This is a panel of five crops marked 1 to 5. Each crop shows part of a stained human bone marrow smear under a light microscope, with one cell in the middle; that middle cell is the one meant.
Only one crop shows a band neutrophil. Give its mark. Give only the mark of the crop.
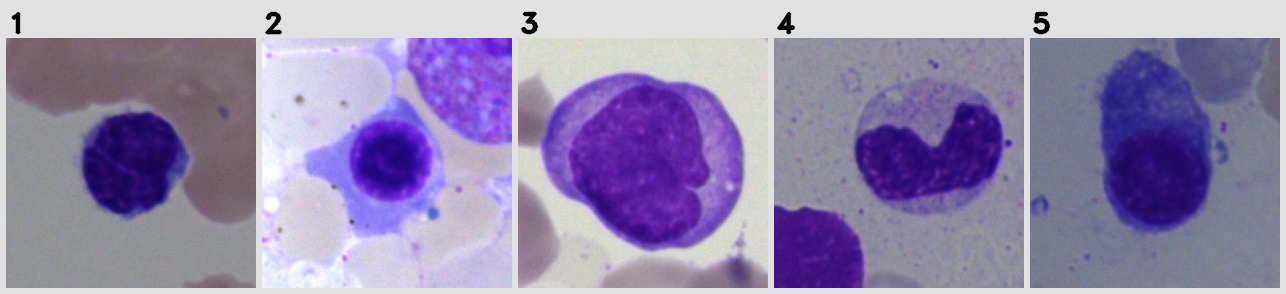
4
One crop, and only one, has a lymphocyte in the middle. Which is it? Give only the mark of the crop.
1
